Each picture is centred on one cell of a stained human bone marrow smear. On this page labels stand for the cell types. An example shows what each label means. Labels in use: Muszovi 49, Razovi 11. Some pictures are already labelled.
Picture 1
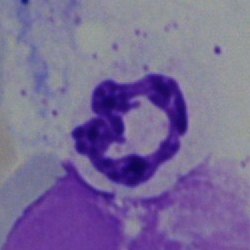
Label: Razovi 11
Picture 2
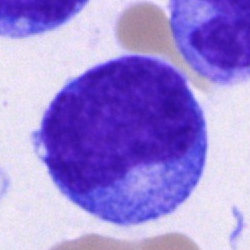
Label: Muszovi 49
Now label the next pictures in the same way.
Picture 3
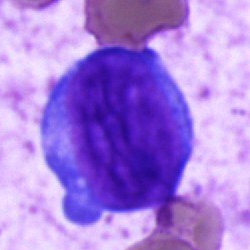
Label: Muszovi 49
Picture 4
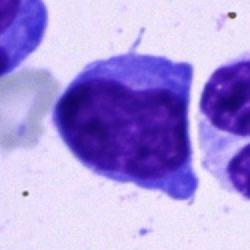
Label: Muszovi 49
